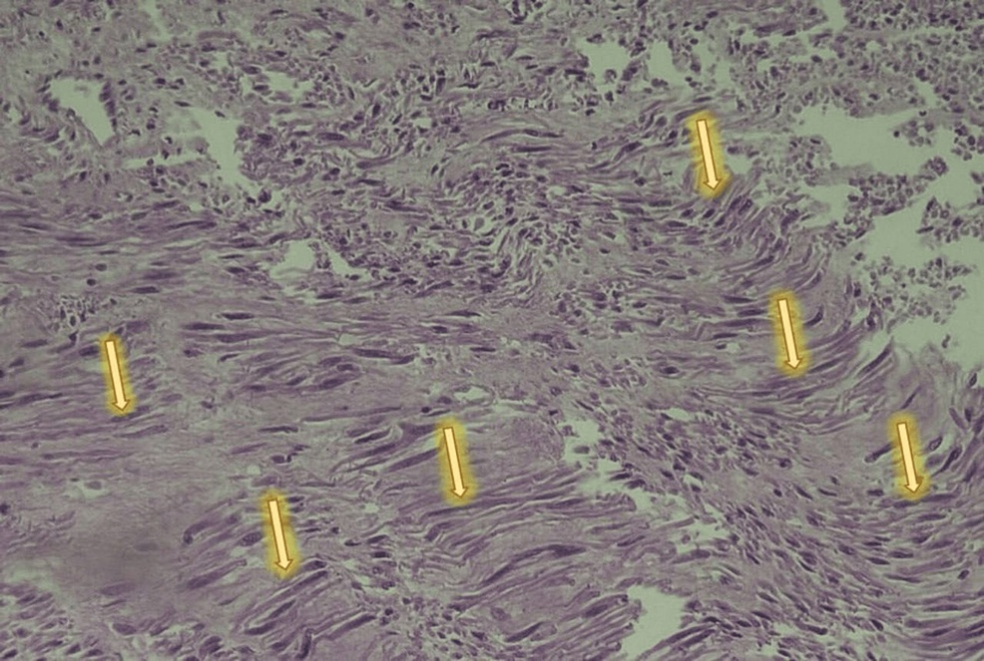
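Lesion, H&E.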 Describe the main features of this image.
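Long spindle-shaped cells run in broad, sweeping bundles across the lower and middle parts of the field. Many of these cells are cut lengthwise. Each has a long, blunt-ended, dark purple nucleus set in pale purple, fibrillar cytoplasm. The bundles curve and interlace, and their cells lie parallel to one another within each bundle. Some nuclei are darker and more irregular in outline than others. Toward the top, the tissue is looser, with crowded, rounder cells and scattered clear spaces. These bundles are smooth muscle fibers whose nuclei show some atypia.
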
